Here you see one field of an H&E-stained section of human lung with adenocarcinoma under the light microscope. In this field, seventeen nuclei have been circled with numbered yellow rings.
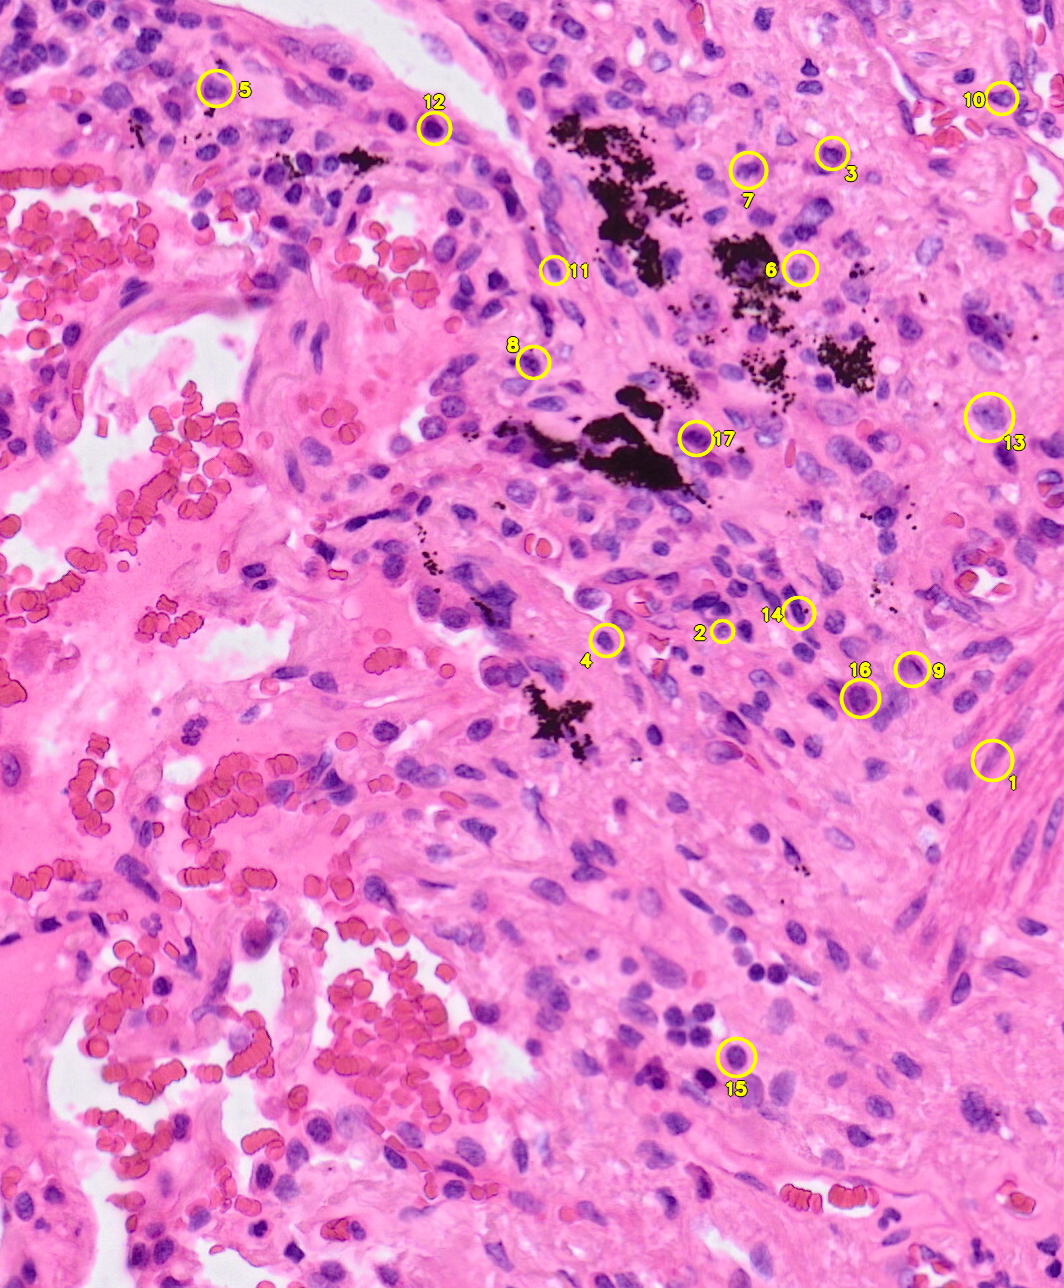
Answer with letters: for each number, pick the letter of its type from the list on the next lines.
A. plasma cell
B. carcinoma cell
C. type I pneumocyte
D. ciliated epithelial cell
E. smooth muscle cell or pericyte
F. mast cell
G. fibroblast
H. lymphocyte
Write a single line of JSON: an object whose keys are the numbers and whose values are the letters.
{"1": "E", "2": "H", "3": "A", "4": "H", "5": "A", "6": "H", "7": "A", "8": "A", "9": "A", "10": "F", "11": "H", "12": "A", "13": "G", "14": "H", "15": "H", "16": "A", "17": "A"}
